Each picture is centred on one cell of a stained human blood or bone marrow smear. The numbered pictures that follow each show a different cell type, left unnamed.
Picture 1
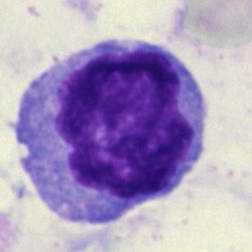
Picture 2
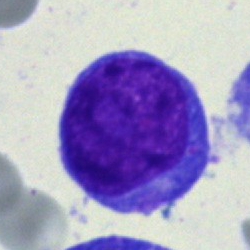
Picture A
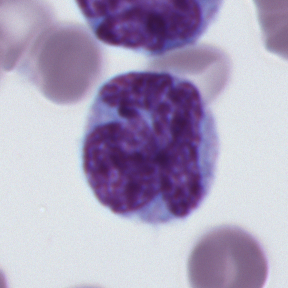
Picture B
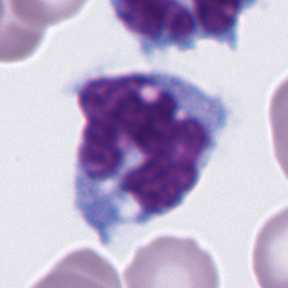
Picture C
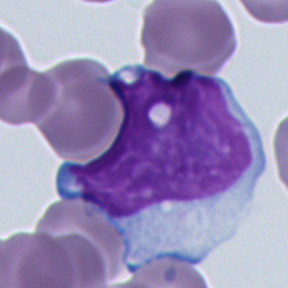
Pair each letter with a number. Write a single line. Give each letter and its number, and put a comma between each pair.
A 1, B 1, C 2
